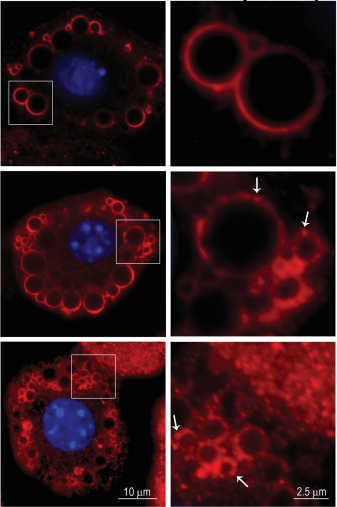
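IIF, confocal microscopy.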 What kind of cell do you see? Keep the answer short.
Adipocytes.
